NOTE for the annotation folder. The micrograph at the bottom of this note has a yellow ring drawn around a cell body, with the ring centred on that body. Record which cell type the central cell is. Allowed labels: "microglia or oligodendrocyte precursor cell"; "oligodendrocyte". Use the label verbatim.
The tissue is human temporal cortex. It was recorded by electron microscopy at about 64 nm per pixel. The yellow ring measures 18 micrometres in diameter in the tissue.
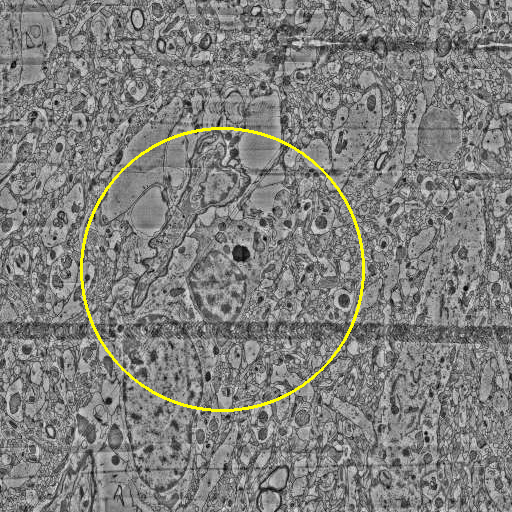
oligodendrocyte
